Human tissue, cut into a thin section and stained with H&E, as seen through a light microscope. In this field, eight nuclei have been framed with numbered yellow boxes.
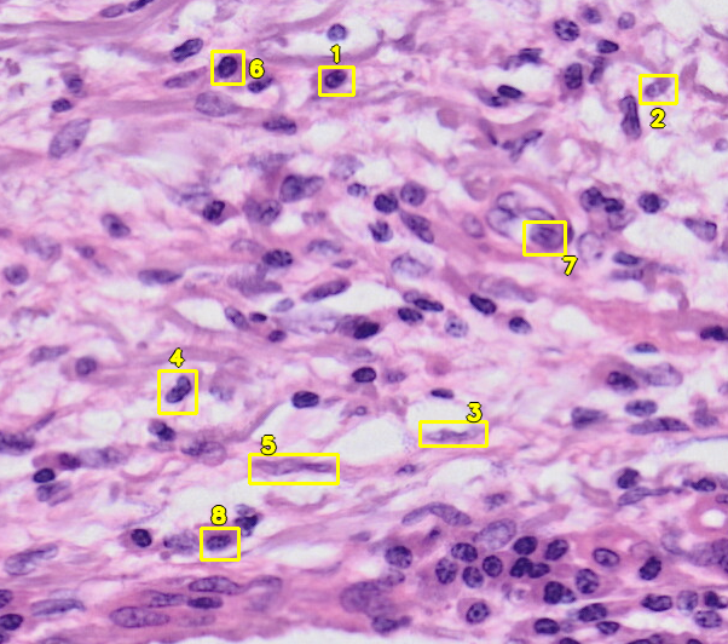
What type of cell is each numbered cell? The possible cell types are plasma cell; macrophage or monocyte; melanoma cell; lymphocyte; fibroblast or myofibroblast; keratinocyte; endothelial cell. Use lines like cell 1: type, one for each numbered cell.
cell 1: plasma cell
cell 2: fibroblast or myofibroblast
cell 3: fibroblast or myofibroblast
cell 4: lymphocyte
cell 5: fibroblast or myofibroblast
cell 6: plasma cell
cell 7: endothelial cell
cell 8: plasma cell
